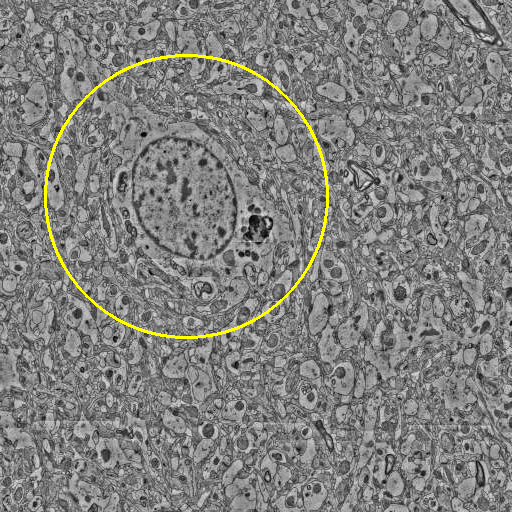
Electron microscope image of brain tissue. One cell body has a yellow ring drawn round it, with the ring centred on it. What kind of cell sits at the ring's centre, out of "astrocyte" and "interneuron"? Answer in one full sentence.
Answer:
It is an astrocyte whose cell body sits at the centre of the yellow ring.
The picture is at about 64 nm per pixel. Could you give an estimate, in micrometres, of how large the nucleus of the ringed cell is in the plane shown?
The nucleus comes to roughly 8 by 6 micrometres in this plane.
